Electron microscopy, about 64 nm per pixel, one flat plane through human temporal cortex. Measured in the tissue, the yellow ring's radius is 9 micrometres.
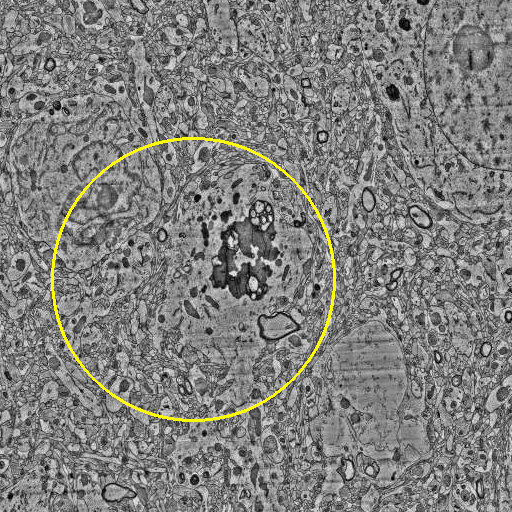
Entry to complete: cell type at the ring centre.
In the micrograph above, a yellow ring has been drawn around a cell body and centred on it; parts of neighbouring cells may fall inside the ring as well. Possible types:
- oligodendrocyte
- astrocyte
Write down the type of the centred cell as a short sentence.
The ring is centred on an astrocyte.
